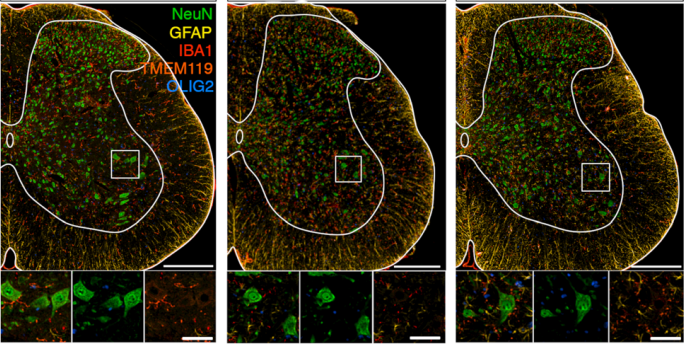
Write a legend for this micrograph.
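These are three cross-sections through one half of the spinal cord, laid side by side, each with enlarged insets beneath it. In each section a thin white line traces the border of the central, butterfly-shaped inner region, which is surrounded by a broad outer rim. Inside that border, many large, rounded to angular cell bodies stand out in bright green. Fine yellow fibres run through the whole section and are densest in the outer rim, where they form a radial, streaky pattern toward the surface. Small red and orange cells with thin branching processes are scattered throughout the tissue. The insets show the large green cell bodies more closely, with small blue nuclei and branched red and orange profiles lying between them.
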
